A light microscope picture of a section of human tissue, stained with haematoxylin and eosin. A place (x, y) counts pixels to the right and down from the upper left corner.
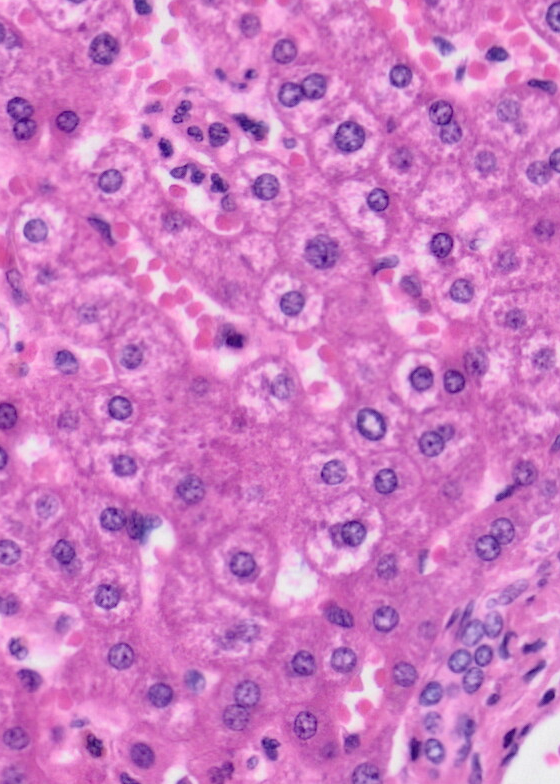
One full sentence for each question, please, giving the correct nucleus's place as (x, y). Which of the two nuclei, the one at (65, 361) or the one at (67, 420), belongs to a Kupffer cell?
Housed in a Kupffer cell is the nucleus at (65, 361), not the other one.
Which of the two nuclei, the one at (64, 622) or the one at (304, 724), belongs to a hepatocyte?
The one belonging to a hepatocyte is the nucleus at (304, 724), not the other.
